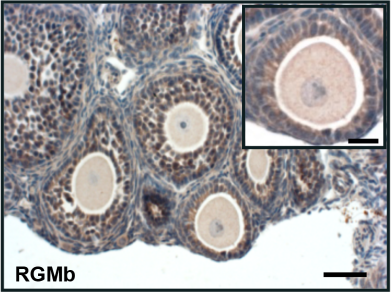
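The granulosa cells show brown staining in their cytoplasm around blue nuclei, while the oocytes remain pale and the flattened cells lying between the follicles are mostly blue. An inset enlarges one follicle, showing the brown granulosa layers around the pale oocyte.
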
